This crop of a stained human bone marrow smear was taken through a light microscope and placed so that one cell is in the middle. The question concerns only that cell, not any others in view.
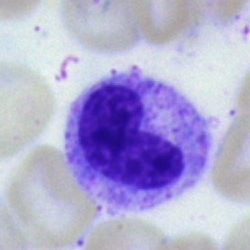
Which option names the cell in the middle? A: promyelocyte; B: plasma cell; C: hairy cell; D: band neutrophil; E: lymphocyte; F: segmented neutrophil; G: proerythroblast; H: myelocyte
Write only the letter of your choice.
D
